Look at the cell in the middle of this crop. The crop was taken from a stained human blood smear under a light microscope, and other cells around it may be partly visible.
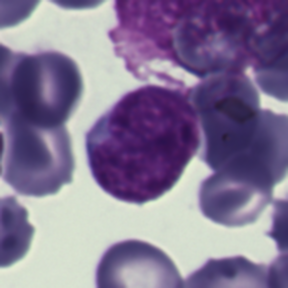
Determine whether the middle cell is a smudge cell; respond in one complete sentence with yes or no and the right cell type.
No, the cell found centrally in the crop is a myeloblast, not a smudge cell.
